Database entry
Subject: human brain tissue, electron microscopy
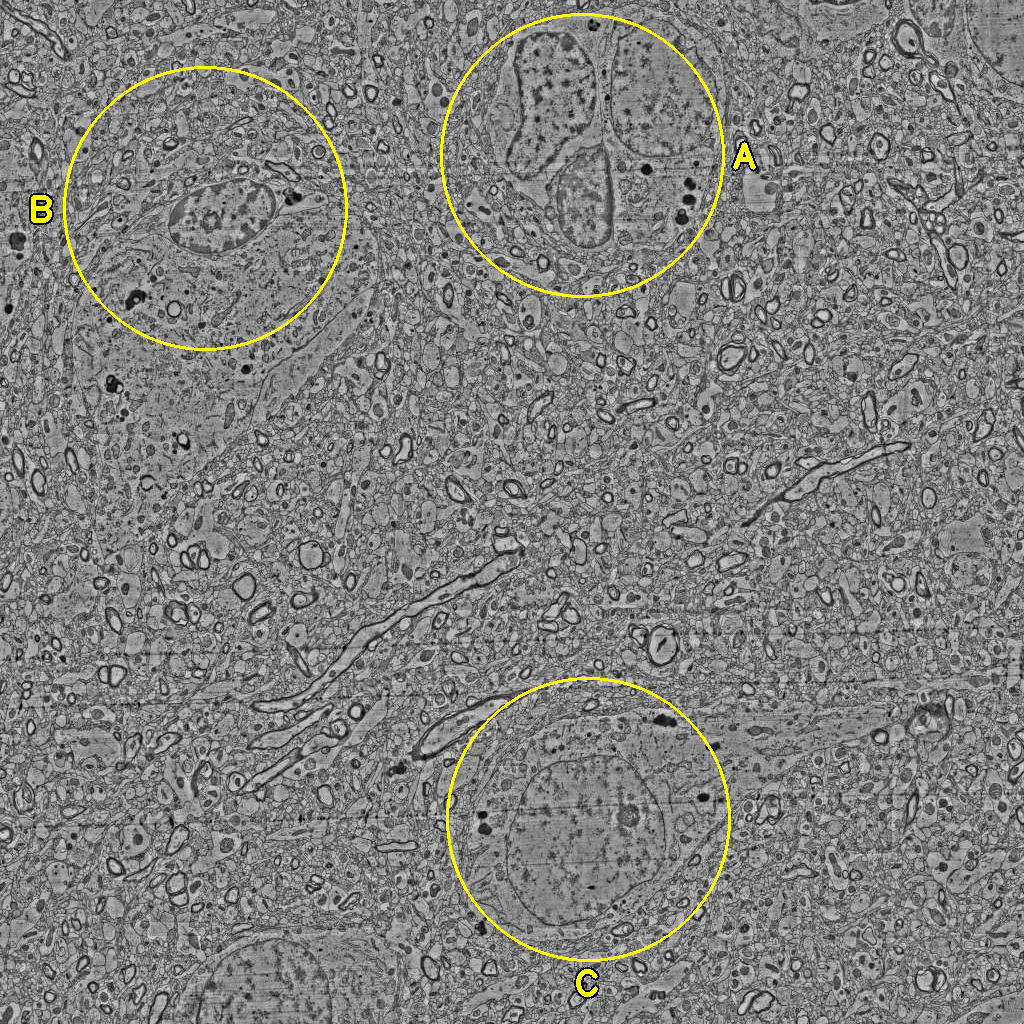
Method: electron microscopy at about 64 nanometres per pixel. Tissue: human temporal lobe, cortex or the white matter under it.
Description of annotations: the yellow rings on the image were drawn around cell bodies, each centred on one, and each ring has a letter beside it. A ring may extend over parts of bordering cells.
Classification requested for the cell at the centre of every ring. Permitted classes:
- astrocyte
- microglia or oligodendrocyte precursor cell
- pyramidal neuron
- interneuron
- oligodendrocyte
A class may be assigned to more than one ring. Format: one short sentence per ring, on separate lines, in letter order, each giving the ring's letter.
The cell body at the centre of ring A is an oligodendrocyte.
The cell body at the centre of ring B is a microglial cell or oligodendrocyte precursor cell.
The cell body at the centre of ring C is a pyramidal neuron.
